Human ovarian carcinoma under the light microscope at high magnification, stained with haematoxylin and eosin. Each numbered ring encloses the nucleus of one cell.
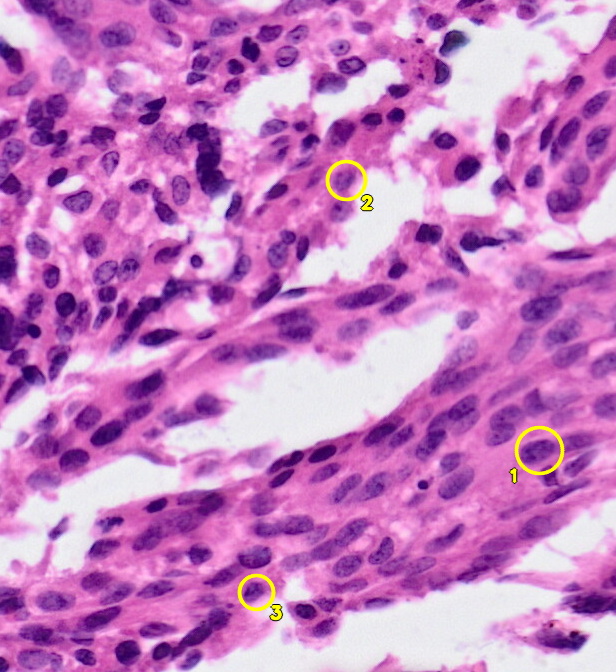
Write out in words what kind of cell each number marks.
Cell 1 is a carcinoma cell. Cells 2 and 3 are macrophages or monocytes.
